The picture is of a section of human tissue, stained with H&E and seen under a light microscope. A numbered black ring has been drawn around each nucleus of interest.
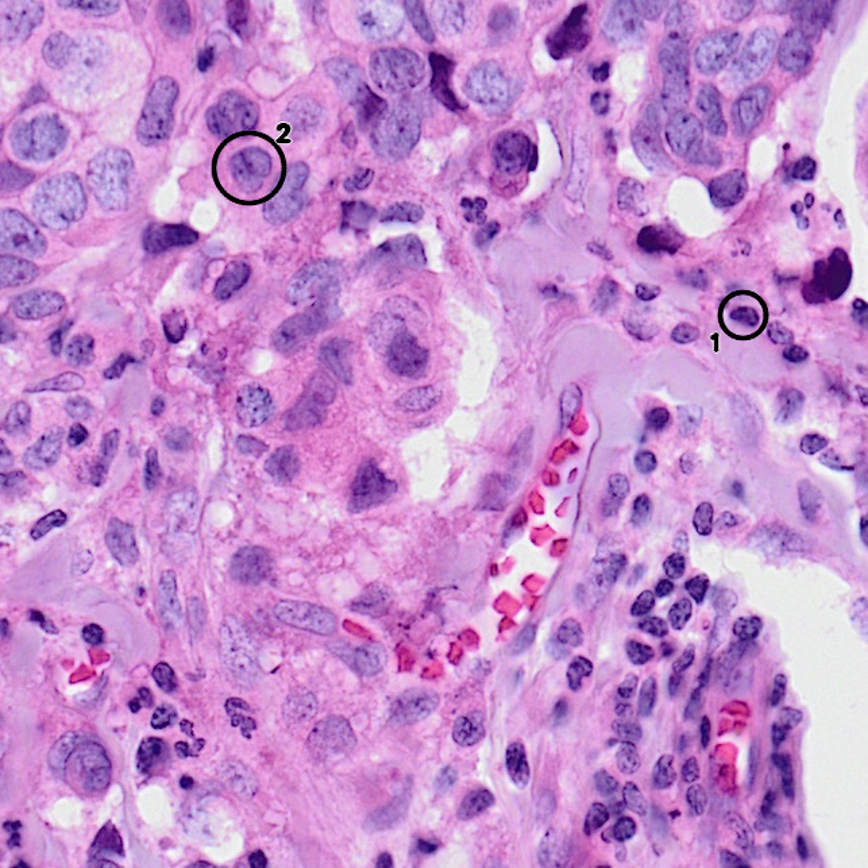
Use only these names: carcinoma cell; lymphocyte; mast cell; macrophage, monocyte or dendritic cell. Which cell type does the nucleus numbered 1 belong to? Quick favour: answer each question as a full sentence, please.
Cell number 1 in this section is a lymphocyte.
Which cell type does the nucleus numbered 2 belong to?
The marked cell bearing number 2 is a carcinoma cell.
